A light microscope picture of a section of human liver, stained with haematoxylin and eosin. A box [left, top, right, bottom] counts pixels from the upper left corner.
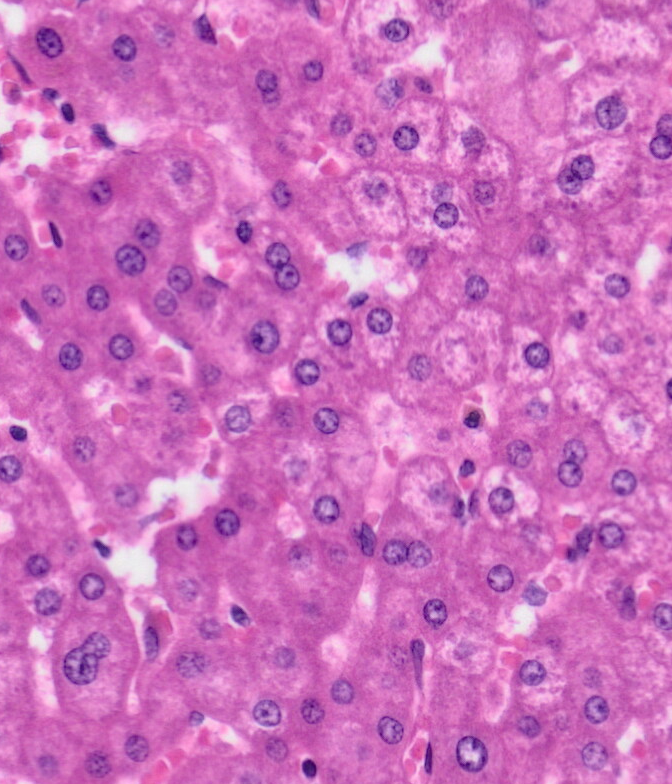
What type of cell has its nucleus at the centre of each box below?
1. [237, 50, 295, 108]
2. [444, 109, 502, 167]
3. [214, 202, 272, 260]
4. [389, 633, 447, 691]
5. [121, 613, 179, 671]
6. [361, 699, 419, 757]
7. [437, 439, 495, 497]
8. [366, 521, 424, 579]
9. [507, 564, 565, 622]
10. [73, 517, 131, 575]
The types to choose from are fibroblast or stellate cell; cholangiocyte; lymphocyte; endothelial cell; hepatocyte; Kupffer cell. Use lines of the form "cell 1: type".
cell 1: hepatocyte
cell 2: hepatocyte
cell 3: fibroblast or stellate cell
cell 4: Kupffer cell
cell 5: Kupffer cell
cell 6: hepatocyte
cell 7: lymphocyte
cell 8: hepatocyte
cell 9: endothelial cell
cell 10: lymphocyte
